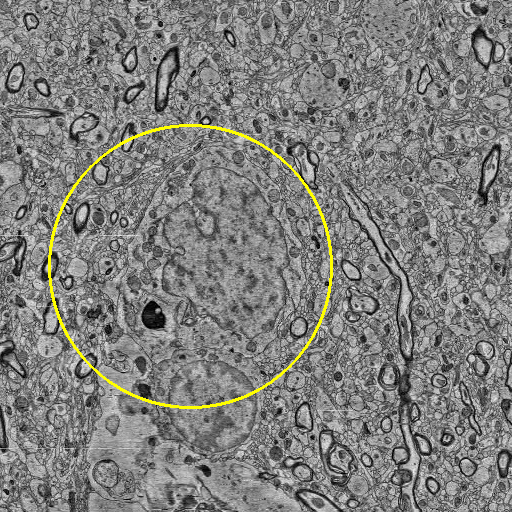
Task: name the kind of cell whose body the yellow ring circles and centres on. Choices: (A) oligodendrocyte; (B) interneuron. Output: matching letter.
B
